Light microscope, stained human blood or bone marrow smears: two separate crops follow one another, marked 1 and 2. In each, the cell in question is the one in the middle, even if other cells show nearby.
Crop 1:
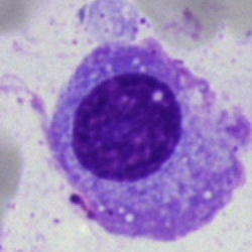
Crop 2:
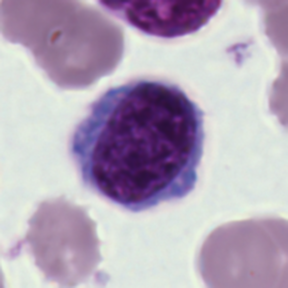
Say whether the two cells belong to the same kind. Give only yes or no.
yes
